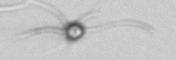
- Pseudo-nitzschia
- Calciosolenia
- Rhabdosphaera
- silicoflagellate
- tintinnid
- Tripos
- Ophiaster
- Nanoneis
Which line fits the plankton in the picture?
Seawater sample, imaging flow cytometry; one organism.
Ophiaster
